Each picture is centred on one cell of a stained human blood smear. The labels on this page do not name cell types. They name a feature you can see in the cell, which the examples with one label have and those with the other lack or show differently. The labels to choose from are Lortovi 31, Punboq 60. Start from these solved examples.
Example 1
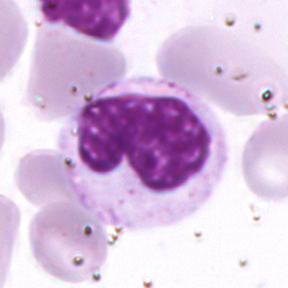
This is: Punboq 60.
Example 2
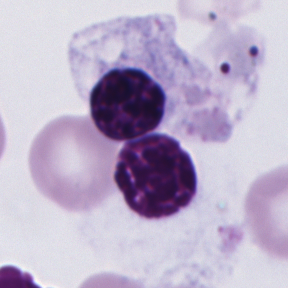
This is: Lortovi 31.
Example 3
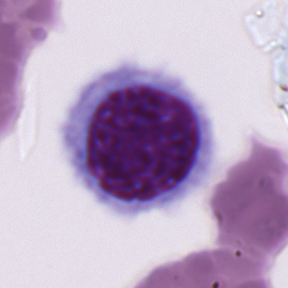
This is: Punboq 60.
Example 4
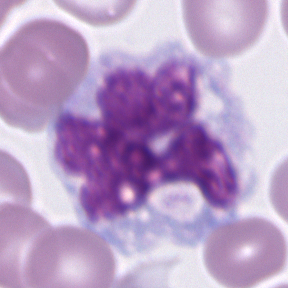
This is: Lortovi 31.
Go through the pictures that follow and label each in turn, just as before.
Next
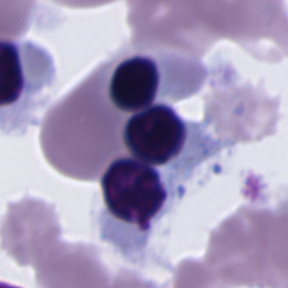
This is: Lortovi 31.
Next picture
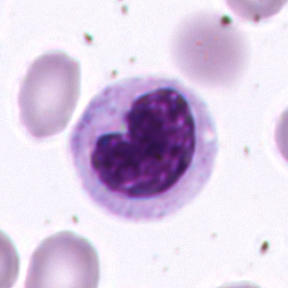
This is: Punboq 60.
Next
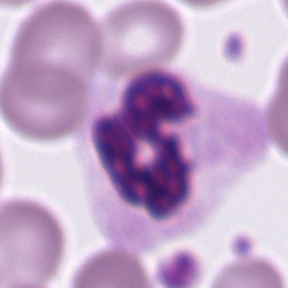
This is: Lortovi 31.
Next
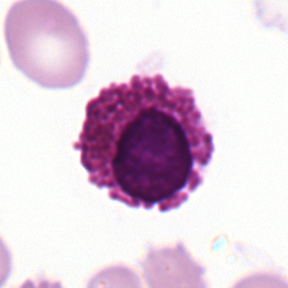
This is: Punboq 60.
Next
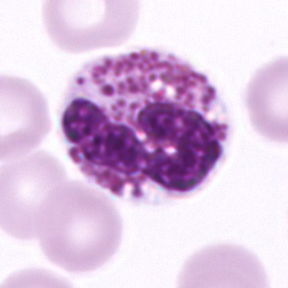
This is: Lortovi 31.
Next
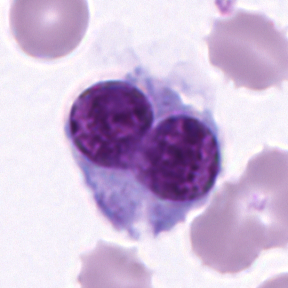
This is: Lortovi 31.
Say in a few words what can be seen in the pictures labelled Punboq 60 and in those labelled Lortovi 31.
In Punboq 60: single compact nucleus. In Lortovi 31: lobed nucleus.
